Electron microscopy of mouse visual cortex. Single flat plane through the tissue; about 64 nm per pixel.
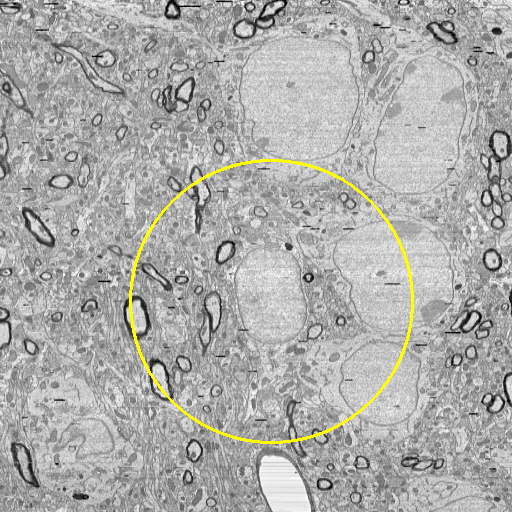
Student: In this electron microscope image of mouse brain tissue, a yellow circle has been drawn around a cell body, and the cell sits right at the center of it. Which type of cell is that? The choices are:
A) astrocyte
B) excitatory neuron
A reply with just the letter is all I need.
A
